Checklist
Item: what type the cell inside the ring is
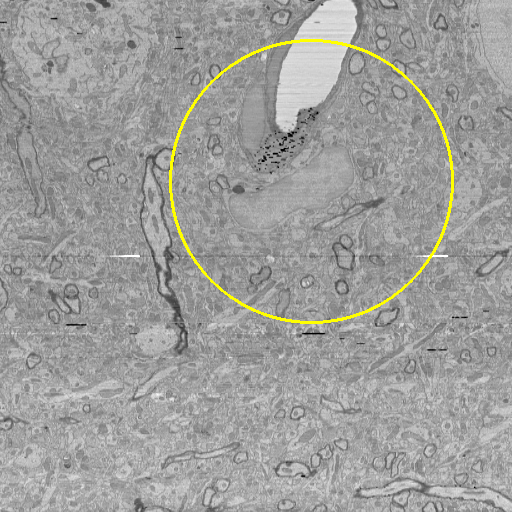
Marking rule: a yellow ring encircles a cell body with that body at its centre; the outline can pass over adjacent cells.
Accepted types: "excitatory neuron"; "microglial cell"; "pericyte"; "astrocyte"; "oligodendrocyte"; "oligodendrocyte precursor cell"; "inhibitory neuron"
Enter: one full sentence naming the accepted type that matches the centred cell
The entry is that a microglial cell lies at the centre of the yellow ring.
